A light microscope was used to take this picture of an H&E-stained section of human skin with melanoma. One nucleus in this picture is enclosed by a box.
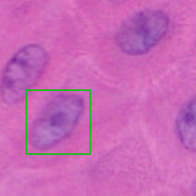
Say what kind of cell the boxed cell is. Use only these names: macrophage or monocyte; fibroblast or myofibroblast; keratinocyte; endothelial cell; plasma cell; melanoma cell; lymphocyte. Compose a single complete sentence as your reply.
As classified here, the boxed cell is a keratinocyte.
